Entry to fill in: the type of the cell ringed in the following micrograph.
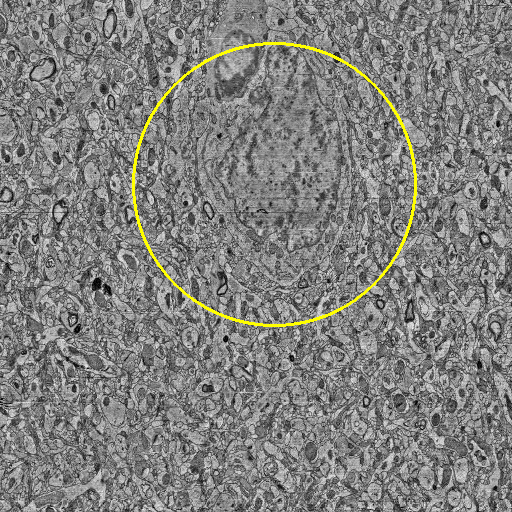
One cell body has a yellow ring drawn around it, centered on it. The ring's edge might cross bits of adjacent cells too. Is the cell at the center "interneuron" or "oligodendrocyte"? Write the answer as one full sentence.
This entry names an interneuron as the cell whose body lies at the ring's center.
